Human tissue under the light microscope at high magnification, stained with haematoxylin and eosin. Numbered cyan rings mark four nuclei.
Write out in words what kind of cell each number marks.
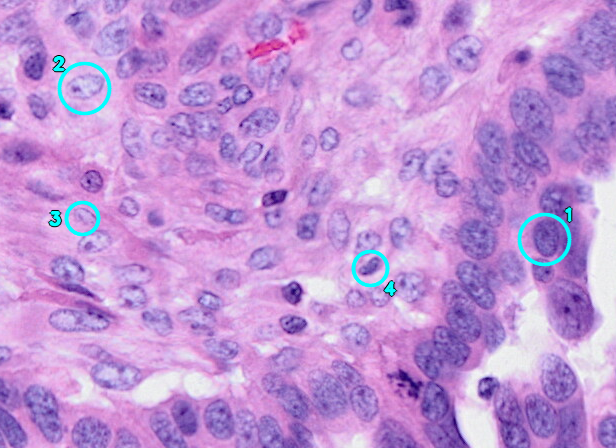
Cell 1 is a carcinoma cell. Cells 2 and 3 are fibroblasts. Cell 4 is a lymphocyte.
